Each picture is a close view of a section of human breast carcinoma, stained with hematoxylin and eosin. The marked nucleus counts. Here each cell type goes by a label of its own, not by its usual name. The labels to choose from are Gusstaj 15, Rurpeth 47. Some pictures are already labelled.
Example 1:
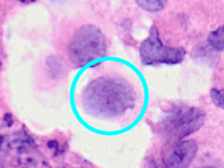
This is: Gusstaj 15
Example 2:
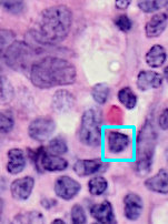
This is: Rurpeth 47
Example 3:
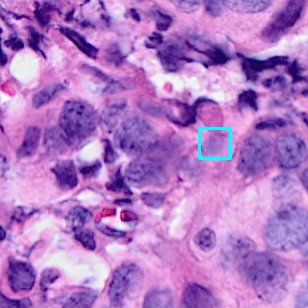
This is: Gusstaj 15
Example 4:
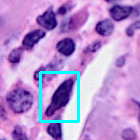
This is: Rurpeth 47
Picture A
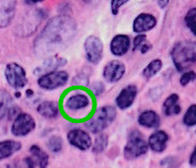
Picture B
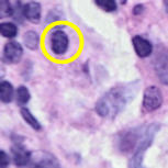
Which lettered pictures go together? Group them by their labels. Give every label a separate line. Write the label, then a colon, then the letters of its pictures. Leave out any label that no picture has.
Rurpeth 47: A, B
